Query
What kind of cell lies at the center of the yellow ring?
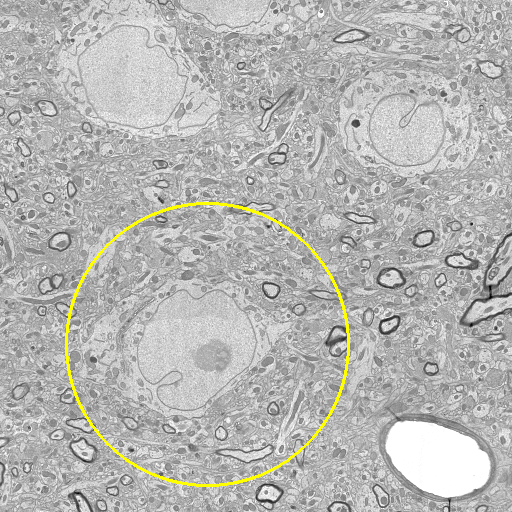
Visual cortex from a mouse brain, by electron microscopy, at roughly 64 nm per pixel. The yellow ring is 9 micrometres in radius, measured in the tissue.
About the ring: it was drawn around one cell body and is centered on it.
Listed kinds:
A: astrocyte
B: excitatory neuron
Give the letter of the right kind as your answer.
B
